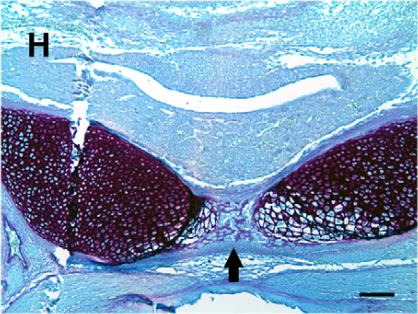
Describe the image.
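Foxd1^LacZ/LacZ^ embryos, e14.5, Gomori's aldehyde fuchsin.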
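This is developing cartilage below the pituitary, where the plate appears as two rounded, deep purple masses of cartilage cells sitting in pale lacunae. Between them runs a narrow gap of loose, pale blue tissue, so the plate is broken rather than continuous. Above lies a slit-like cleft in pale connective tissue.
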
